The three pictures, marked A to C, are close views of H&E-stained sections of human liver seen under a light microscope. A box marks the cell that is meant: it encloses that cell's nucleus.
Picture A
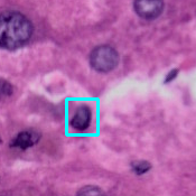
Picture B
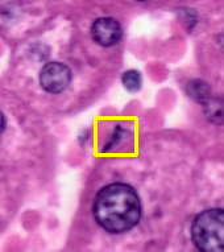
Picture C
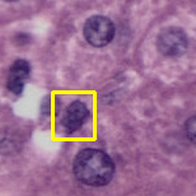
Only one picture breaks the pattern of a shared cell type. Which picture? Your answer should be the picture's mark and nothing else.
B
